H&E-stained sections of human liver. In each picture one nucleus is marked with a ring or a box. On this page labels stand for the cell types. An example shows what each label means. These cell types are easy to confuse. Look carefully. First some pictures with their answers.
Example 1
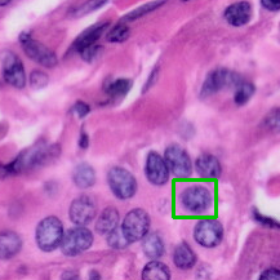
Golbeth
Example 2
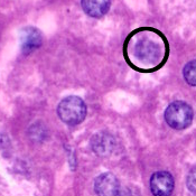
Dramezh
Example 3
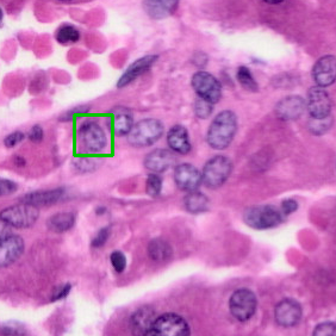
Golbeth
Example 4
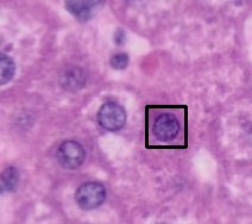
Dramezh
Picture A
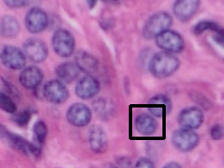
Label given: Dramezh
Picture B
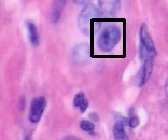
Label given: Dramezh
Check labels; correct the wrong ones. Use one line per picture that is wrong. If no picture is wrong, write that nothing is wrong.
A is labelled Dramezh; correct label: Golbeth
B is labelled Dramezh; correct label: Golbeth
